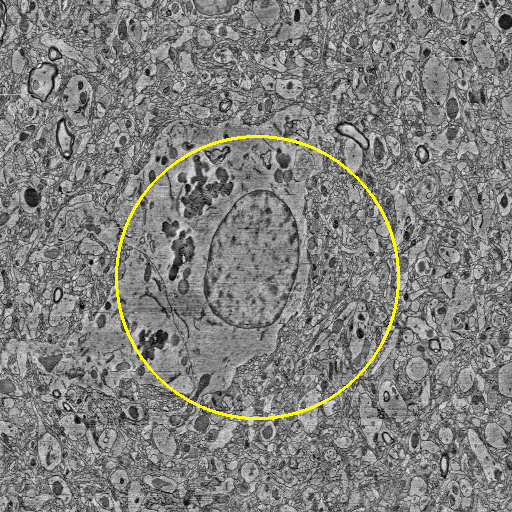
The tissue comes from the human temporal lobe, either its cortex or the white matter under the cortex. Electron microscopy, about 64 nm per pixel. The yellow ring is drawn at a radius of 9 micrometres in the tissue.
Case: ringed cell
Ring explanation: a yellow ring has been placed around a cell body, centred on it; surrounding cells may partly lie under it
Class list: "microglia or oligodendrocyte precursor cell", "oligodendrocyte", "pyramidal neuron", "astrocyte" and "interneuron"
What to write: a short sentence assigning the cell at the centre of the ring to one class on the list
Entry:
The cell at the ring's centre is an astrocyte.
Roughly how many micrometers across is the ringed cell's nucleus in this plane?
Clearly longer than it is wide in this plane, the nucleus measures roughly 9 by 6 micrometres.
